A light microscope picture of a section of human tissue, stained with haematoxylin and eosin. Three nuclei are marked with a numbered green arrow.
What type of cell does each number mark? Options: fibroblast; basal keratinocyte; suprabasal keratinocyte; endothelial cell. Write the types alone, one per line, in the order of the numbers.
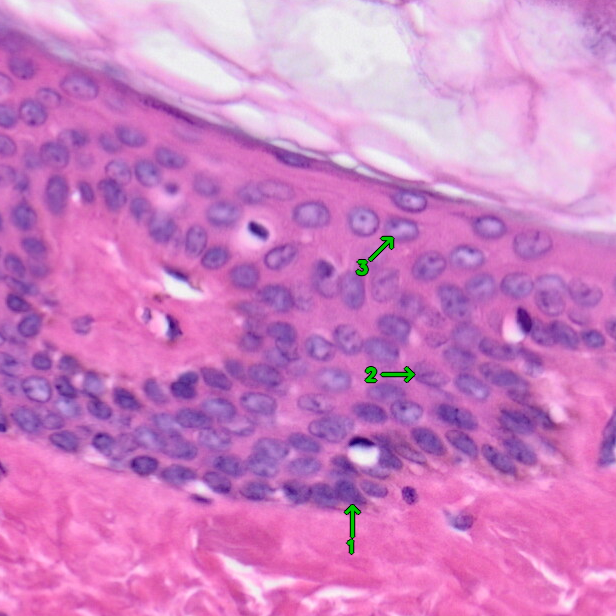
basal keratinocyte
suprabasal keratinocyte
suprabasal keratinocyte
